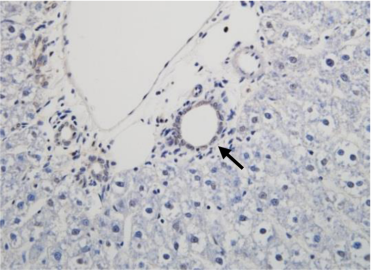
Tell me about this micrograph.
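The bile duct is a small round tube lined by a single ring of cuboidal cells with only faint brownish staining. The hepatocytes around it are large polygonal cells with round blue nuclei and pale bluish cytoplasm, arranged in plates. A little connective tissue with small spindle cells surrounds the duct and vessels. Overall, brown staining is sparse in this field.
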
